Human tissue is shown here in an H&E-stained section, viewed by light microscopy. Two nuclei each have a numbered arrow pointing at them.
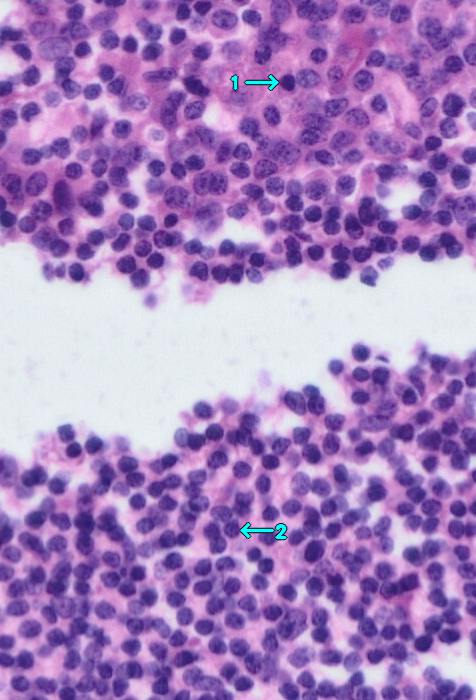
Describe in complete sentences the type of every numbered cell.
Cell 1 is a plasma cell. Cell 2 is a small lymphocyte.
